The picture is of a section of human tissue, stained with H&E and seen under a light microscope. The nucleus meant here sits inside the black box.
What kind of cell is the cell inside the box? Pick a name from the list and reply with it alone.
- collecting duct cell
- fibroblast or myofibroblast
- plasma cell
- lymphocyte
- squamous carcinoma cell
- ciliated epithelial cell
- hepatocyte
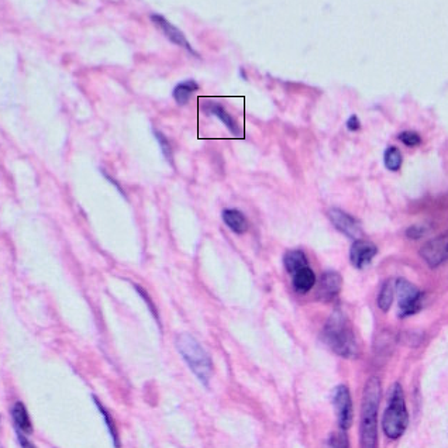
fibroblast or myofibroblast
